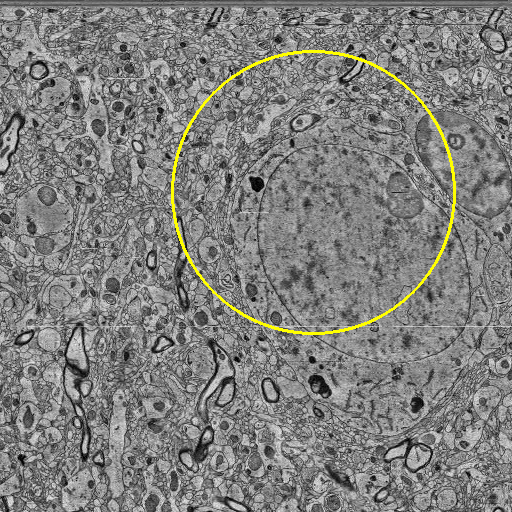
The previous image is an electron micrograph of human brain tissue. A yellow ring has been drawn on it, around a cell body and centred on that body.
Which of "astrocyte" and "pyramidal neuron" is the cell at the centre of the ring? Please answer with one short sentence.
The cell body at the centre of the ring belongs to a pyramidal neuron.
